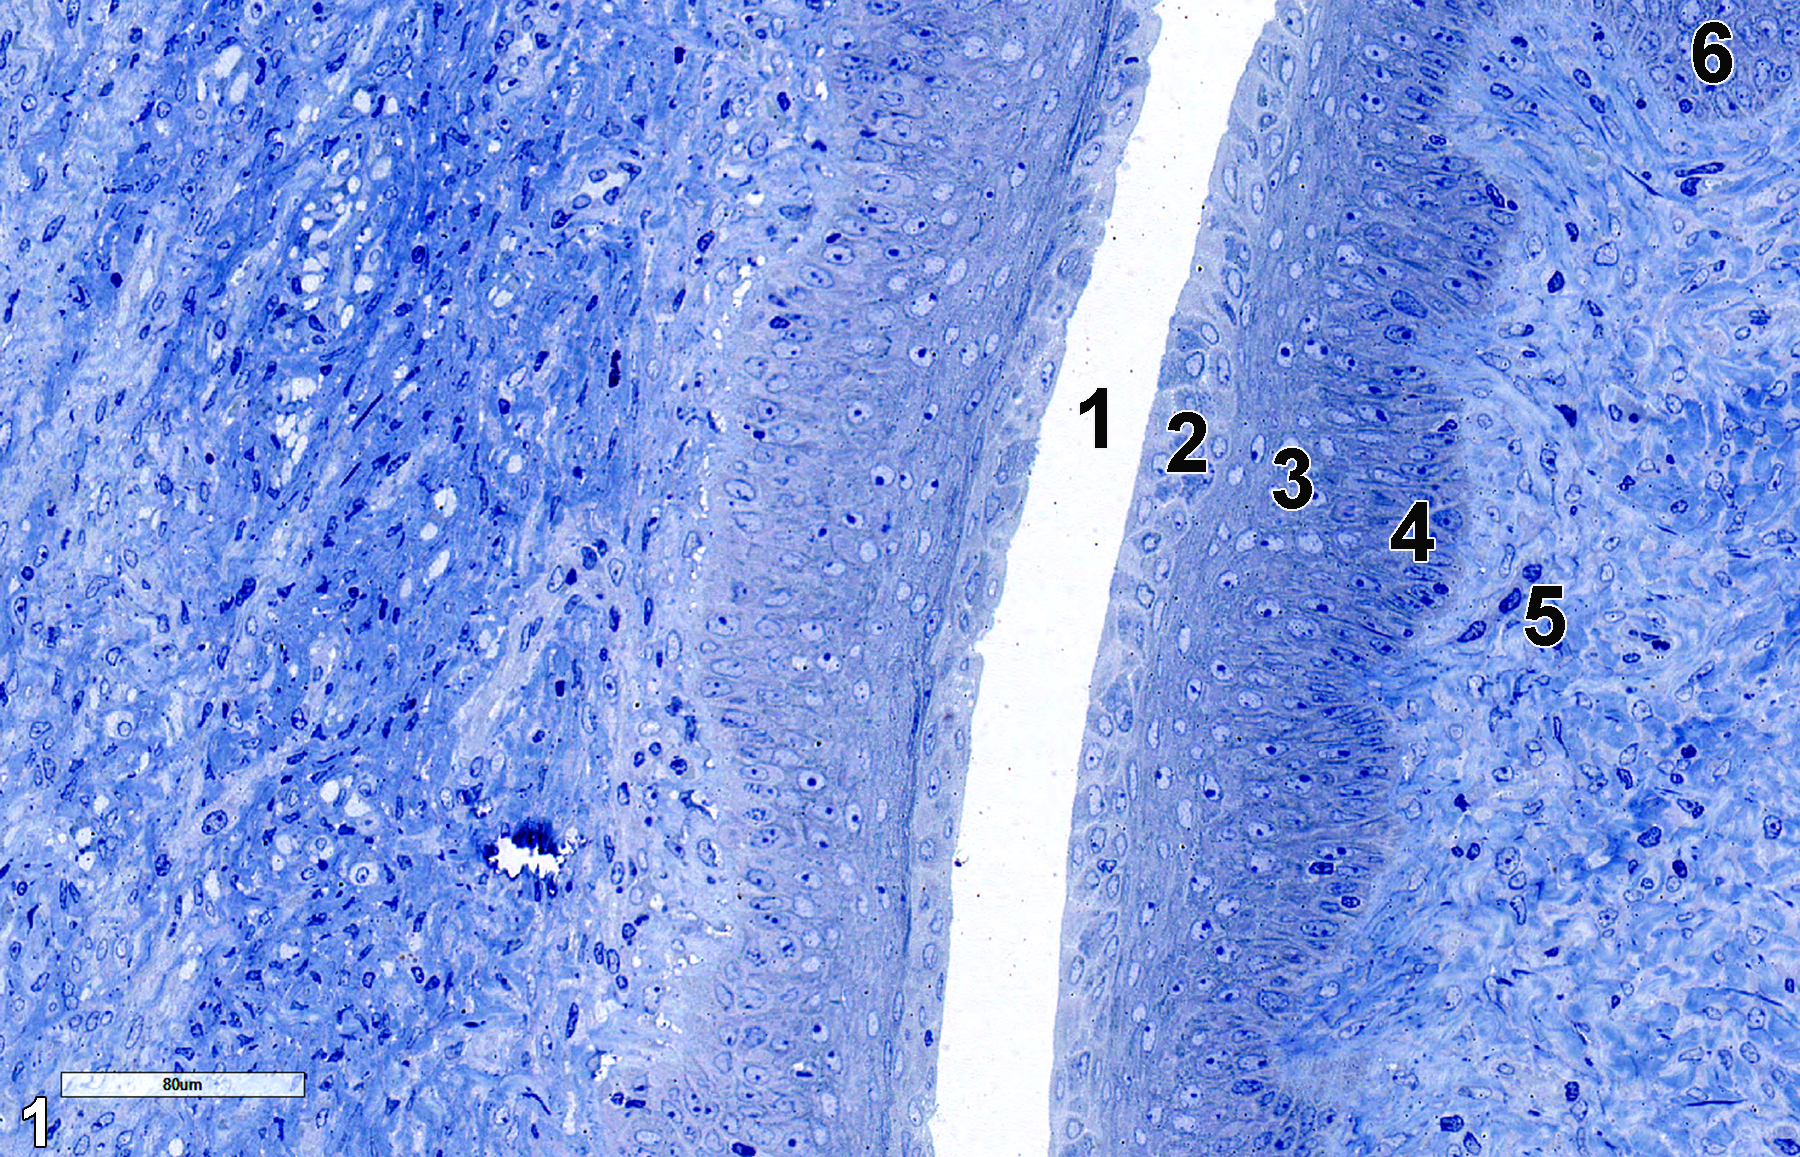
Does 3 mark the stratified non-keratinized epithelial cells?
Yes, 3 marks the stratified non-keratinized epithelial cells.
